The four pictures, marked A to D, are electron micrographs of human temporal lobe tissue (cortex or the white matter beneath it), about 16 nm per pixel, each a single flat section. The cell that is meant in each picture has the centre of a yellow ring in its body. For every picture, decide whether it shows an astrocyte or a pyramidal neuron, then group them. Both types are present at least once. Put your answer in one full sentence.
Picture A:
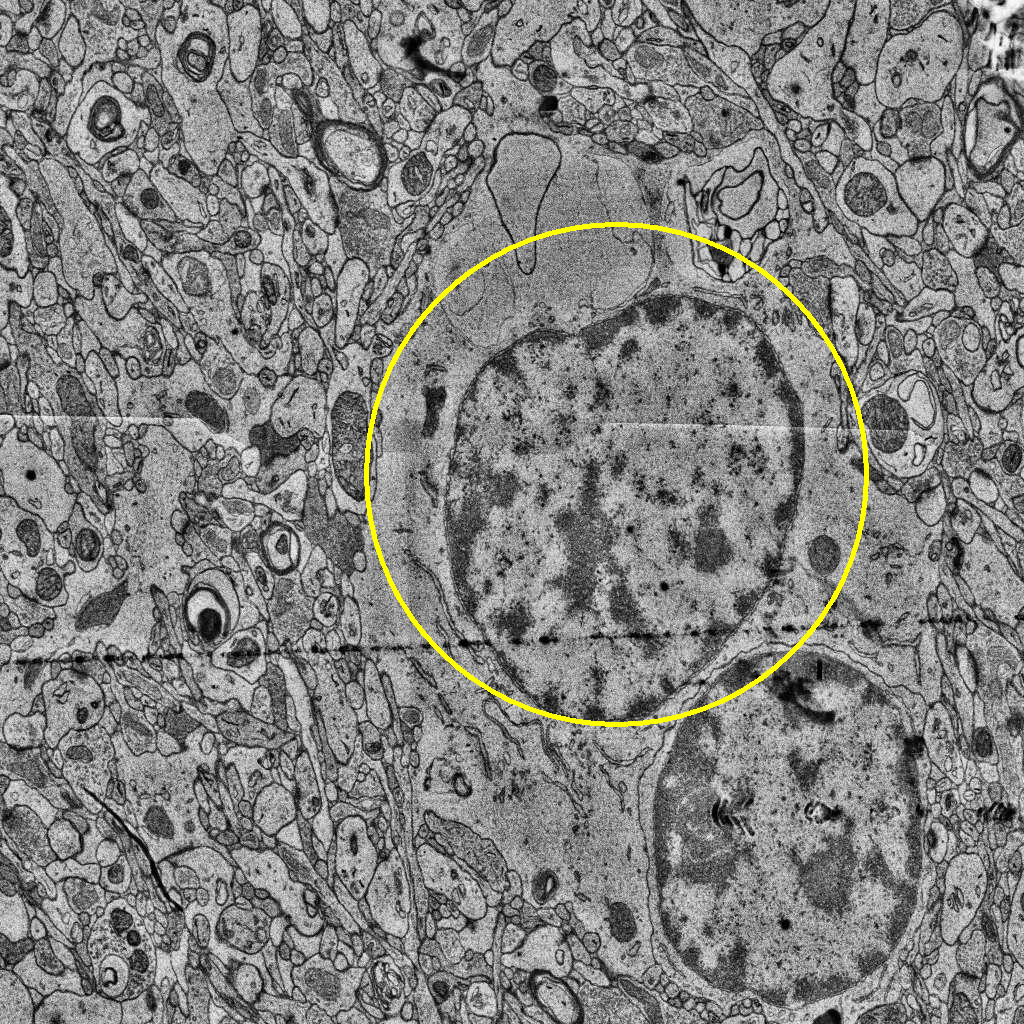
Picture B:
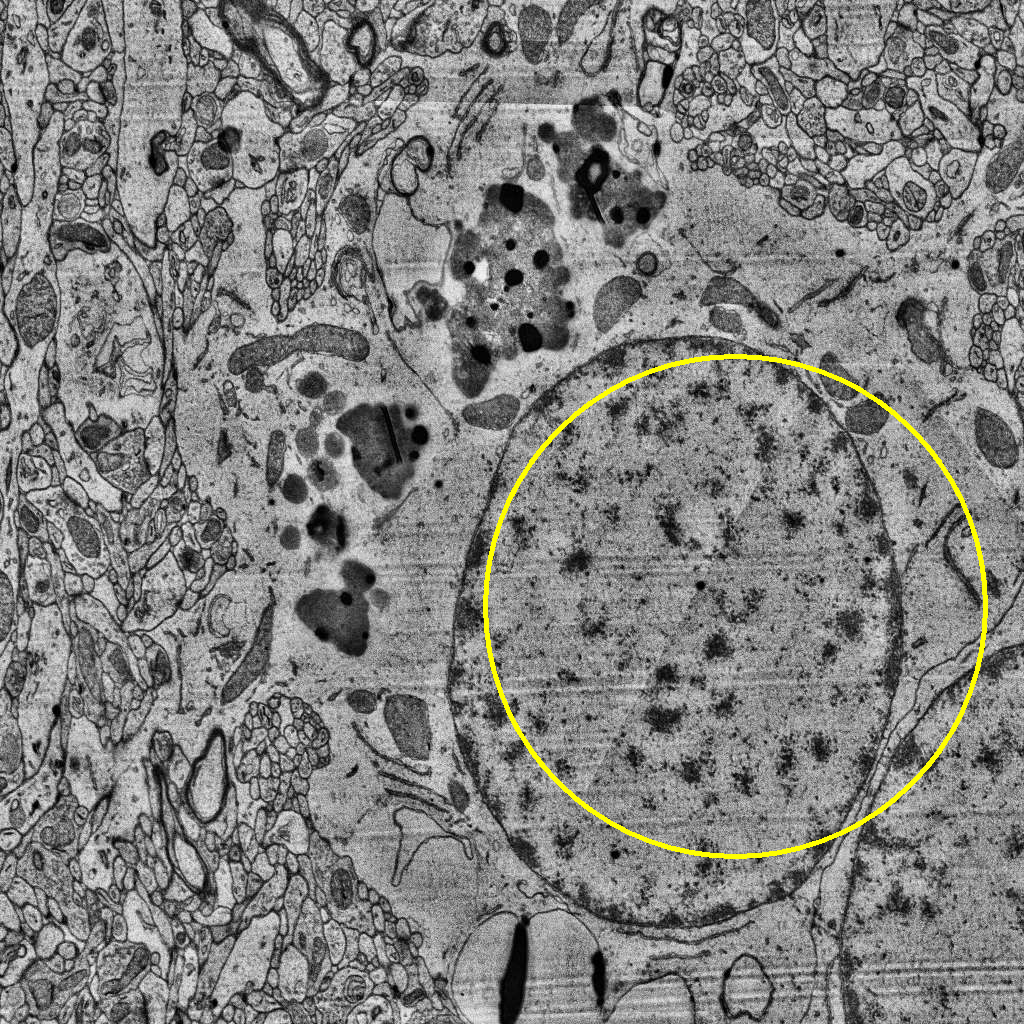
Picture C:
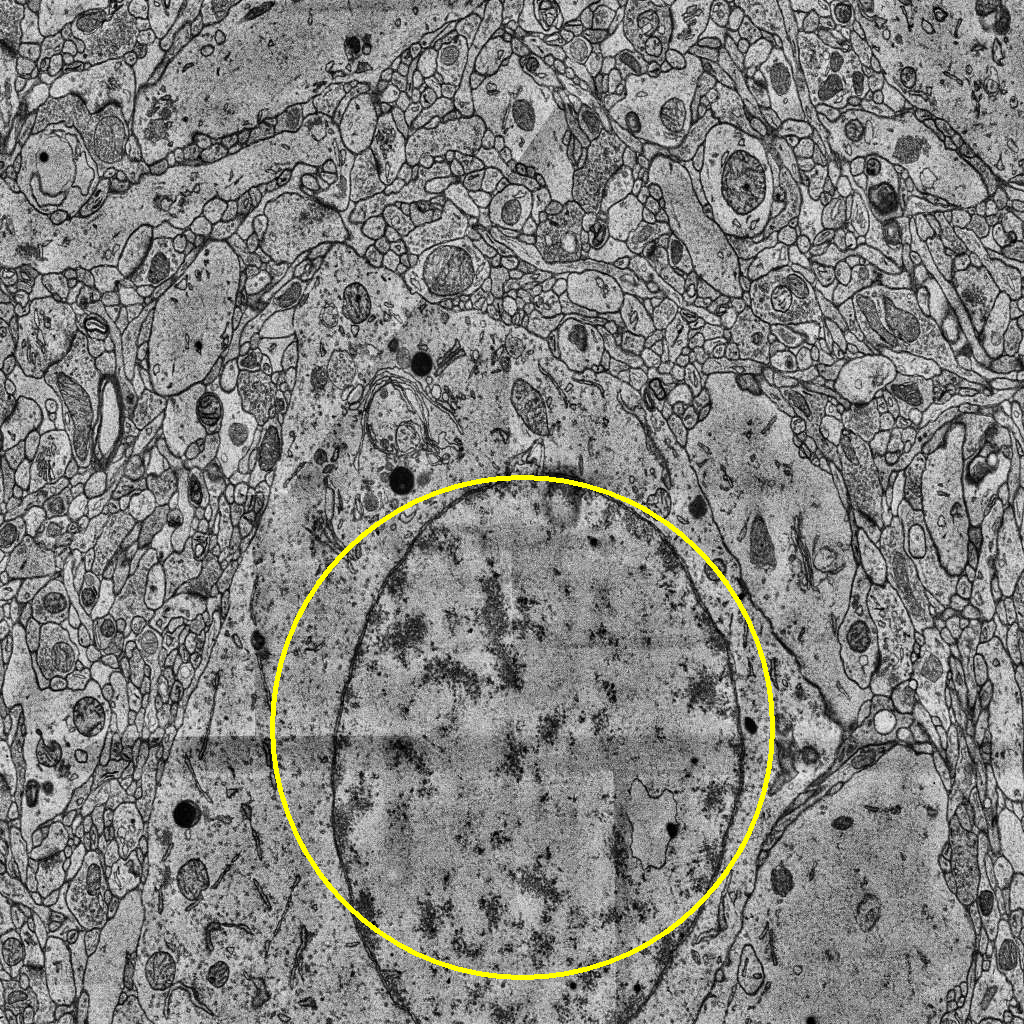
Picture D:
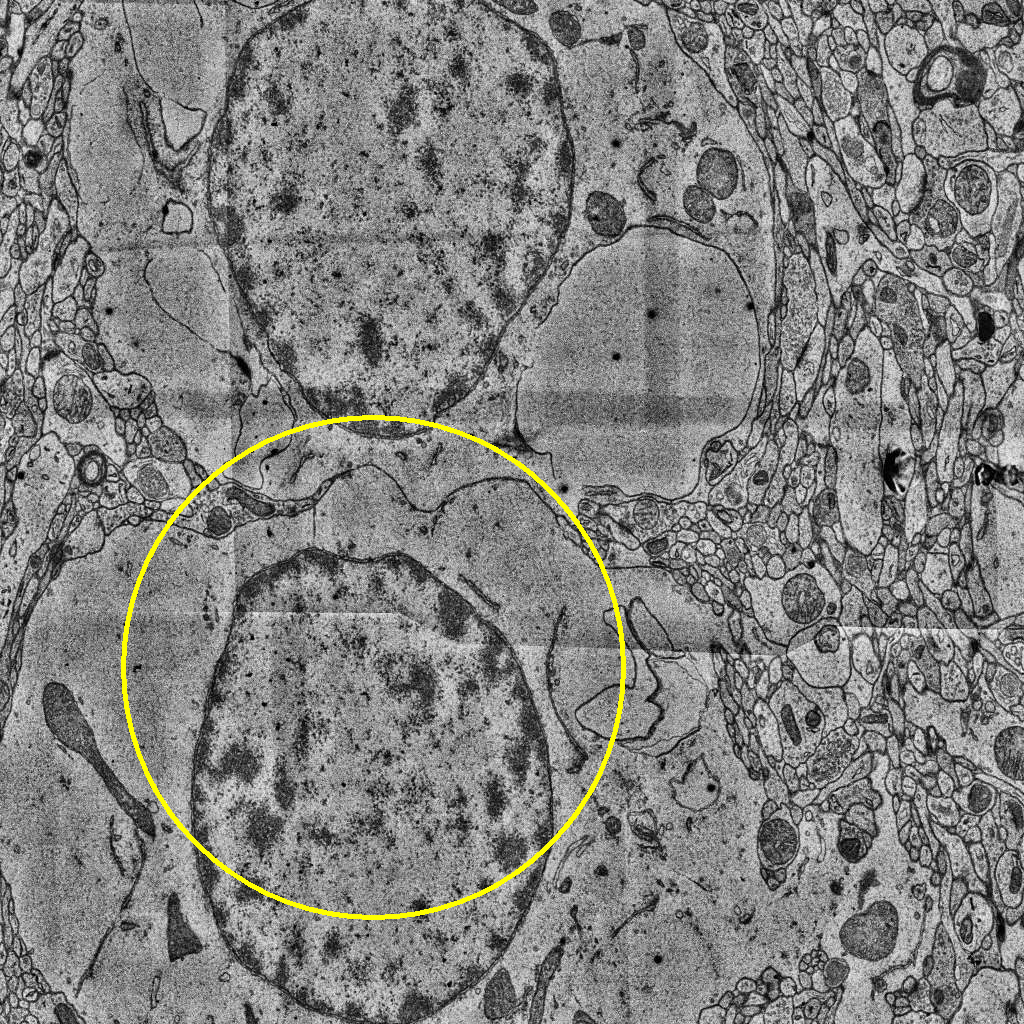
Pictures A, B and D show astrocytes, and picture C shows a pyramidal neuron.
